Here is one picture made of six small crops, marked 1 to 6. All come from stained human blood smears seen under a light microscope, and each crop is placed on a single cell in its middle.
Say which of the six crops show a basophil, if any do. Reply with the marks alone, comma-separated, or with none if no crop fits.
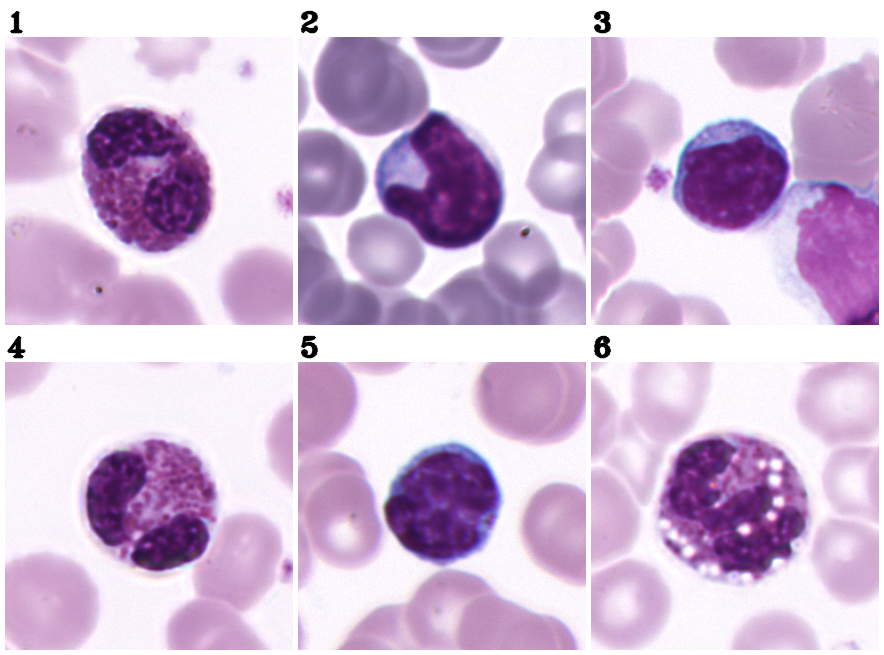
none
